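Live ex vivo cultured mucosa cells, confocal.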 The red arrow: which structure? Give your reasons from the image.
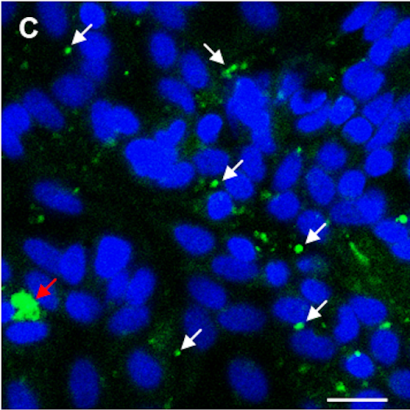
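Larger aggregates. The red arrow points to a bright green clump much larger than the surrounding green dots. The clump lies beside a blue nucleus.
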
